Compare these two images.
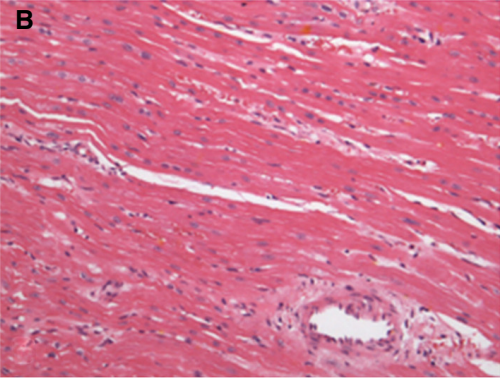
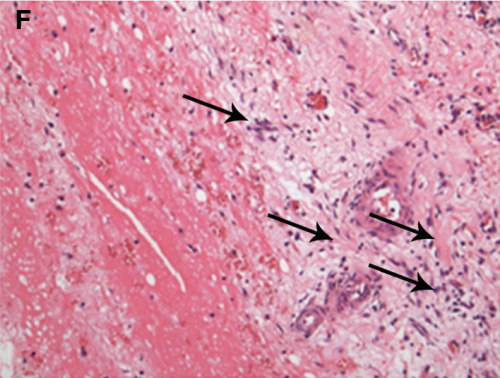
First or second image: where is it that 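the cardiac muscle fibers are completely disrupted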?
The second image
